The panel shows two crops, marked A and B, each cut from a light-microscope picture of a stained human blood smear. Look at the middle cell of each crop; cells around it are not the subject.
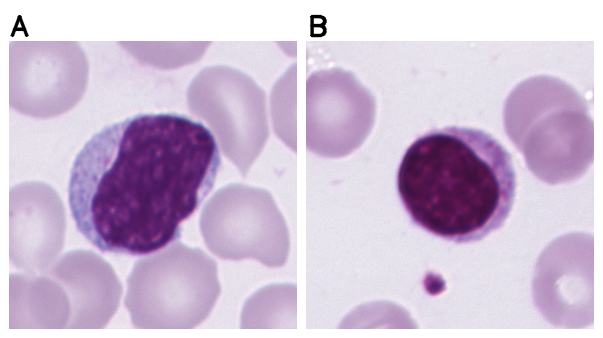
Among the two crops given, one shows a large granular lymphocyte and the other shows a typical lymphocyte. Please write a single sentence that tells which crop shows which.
Identified in crop A is a typical lymphocyte, with a large granular lymphocyte identified in crop B.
